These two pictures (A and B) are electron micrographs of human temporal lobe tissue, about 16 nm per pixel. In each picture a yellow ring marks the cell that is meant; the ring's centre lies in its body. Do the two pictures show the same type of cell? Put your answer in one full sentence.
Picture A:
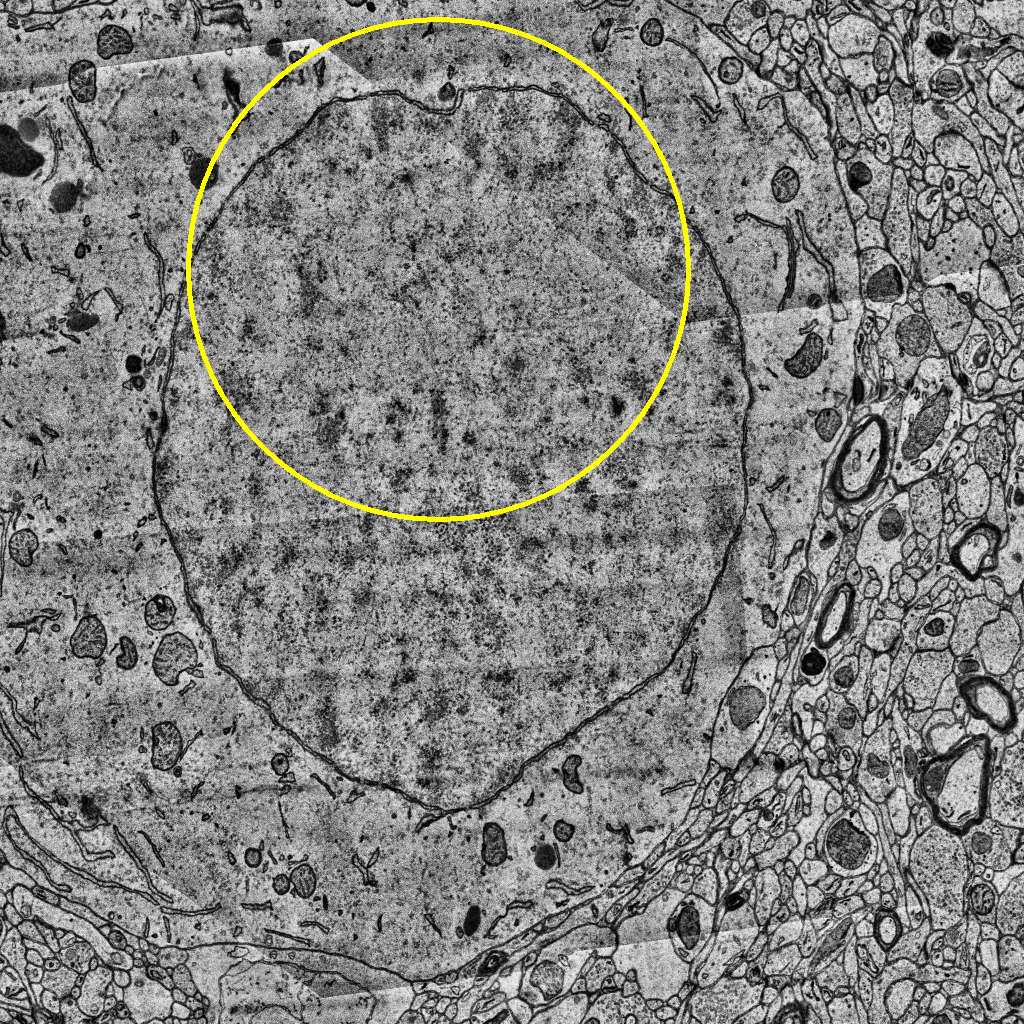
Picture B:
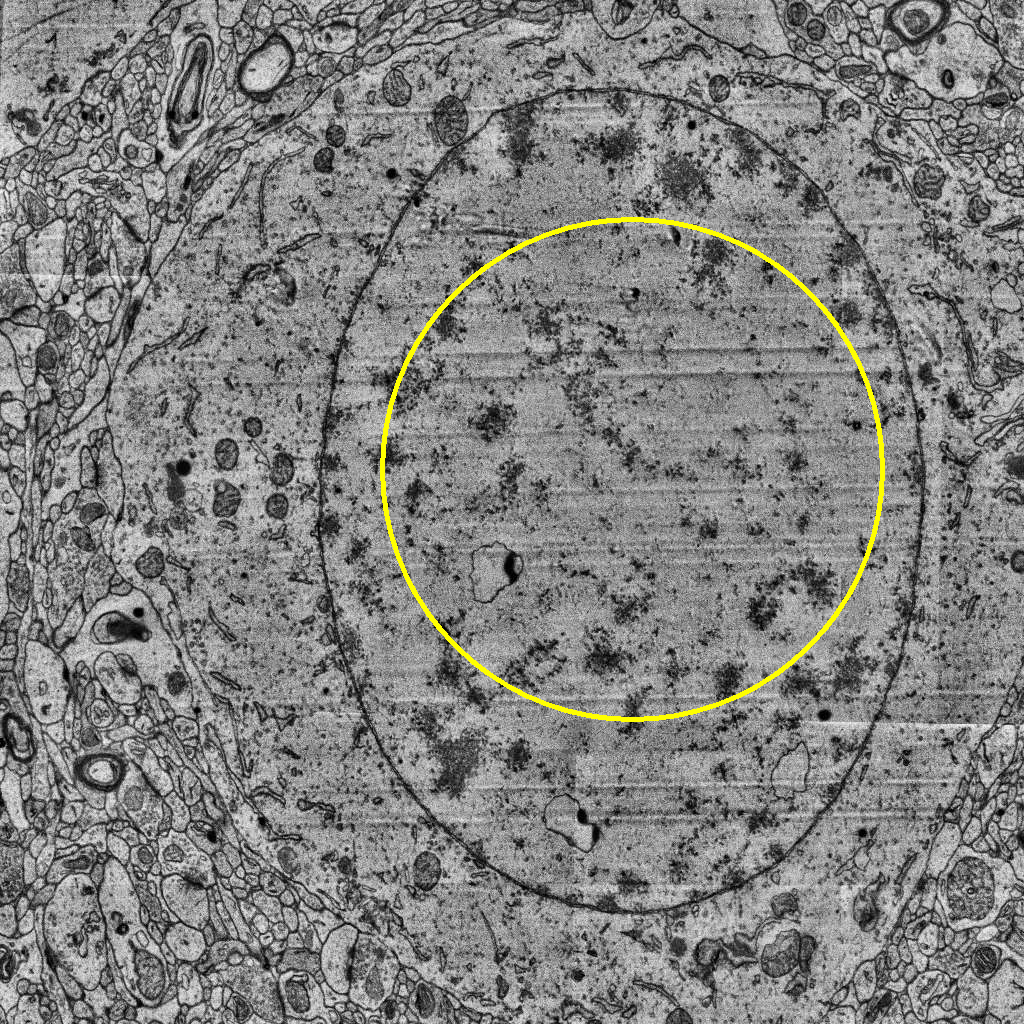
Yes, both cells are pyramidal neurons.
